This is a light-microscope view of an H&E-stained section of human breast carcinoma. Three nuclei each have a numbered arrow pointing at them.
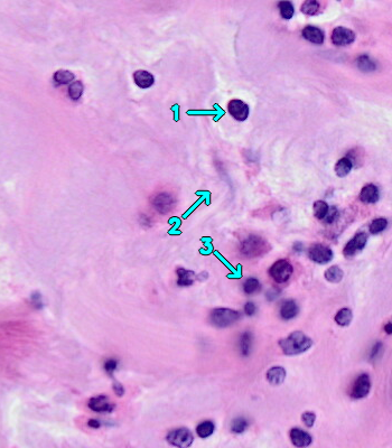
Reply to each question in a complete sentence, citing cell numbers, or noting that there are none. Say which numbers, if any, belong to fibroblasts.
Cell 2 is a fibroblast; no further numbered cell is.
